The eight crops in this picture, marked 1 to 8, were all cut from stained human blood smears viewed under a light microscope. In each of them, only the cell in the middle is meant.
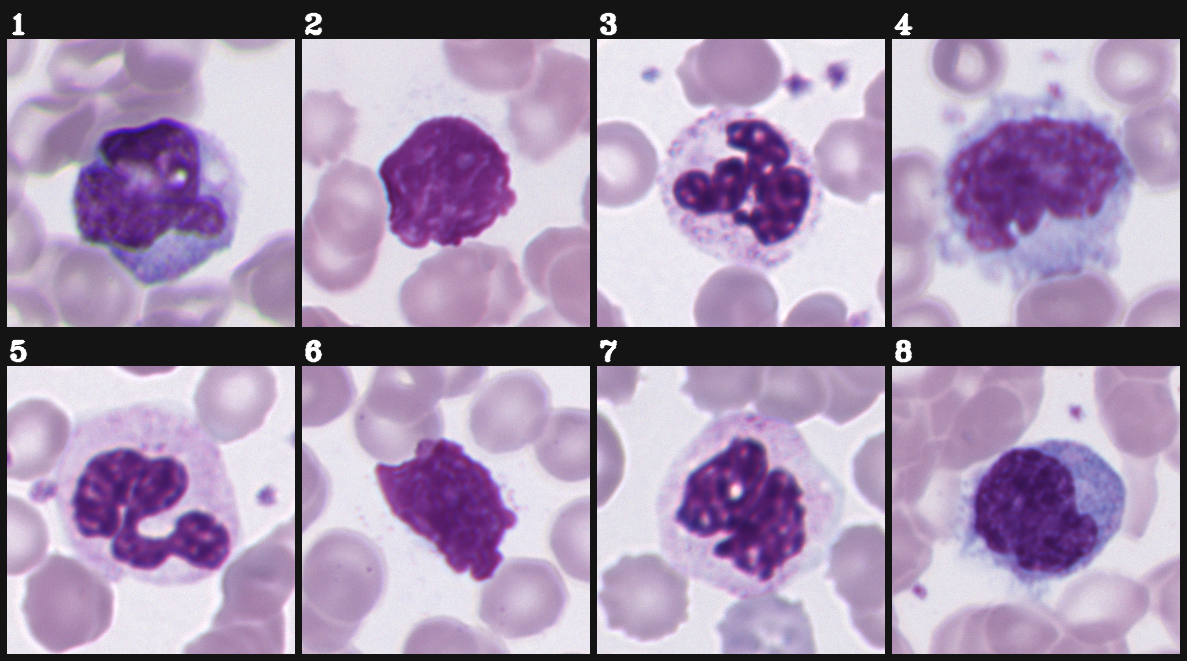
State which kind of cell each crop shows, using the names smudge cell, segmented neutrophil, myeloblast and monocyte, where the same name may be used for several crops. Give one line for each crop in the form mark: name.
1: monocyte
2: smudge cell
3: segmented neutrophil
4: monocyte
5: segmented neutrophil
6: smudge cell
7: segmented neutrophil
8: monocyte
